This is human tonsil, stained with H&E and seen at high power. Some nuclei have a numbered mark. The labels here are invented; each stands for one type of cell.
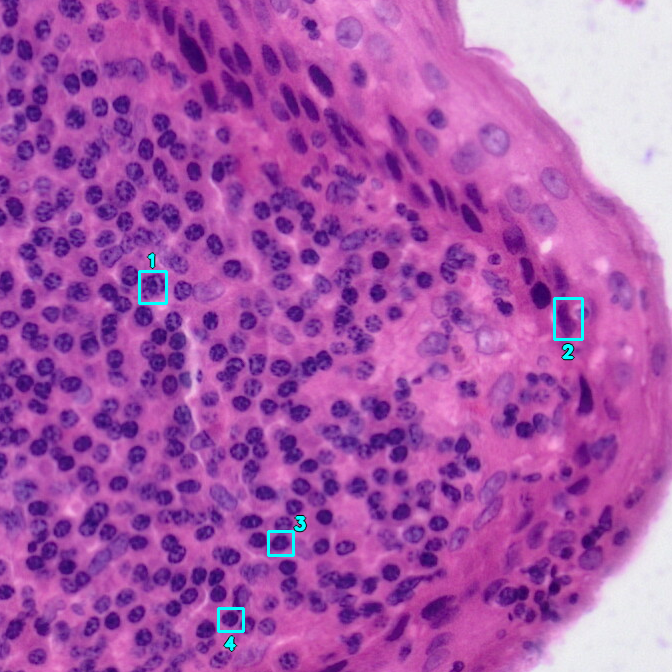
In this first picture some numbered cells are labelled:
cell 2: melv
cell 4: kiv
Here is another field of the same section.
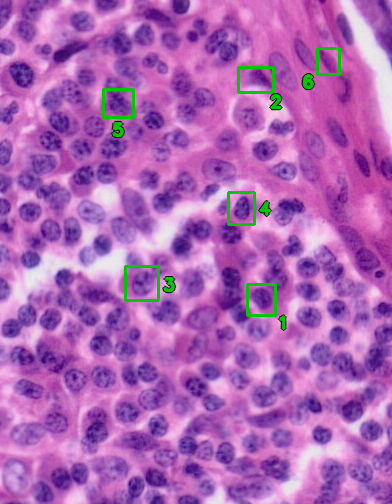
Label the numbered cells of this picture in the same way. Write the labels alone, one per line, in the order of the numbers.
kiv
melv
kiv
kiv
kiv
melv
